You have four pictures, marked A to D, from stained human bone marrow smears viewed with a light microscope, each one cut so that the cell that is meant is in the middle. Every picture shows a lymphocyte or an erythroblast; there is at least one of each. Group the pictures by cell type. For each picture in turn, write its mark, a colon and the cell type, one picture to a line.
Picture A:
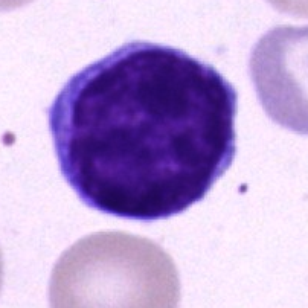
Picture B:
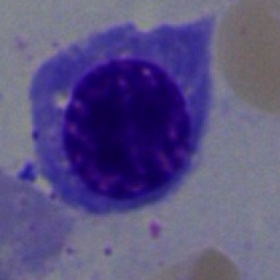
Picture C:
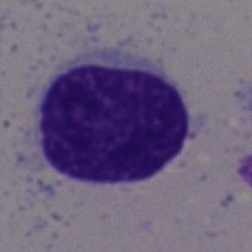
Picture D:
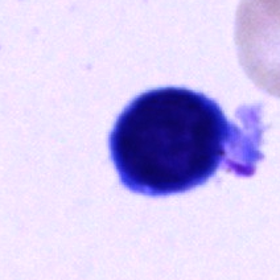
A: lymphocyte
B: erythroblast
C: lymphocyte
D: lymphocyte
